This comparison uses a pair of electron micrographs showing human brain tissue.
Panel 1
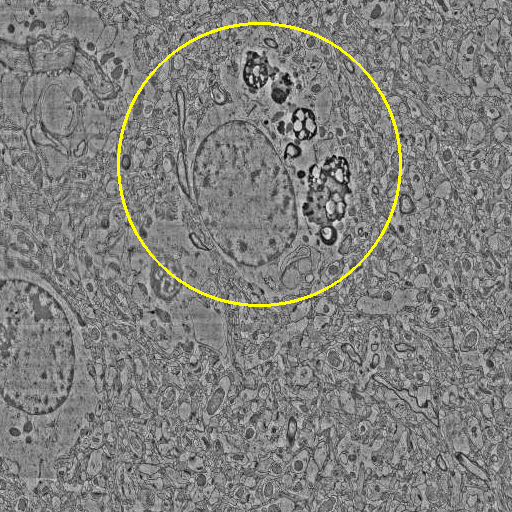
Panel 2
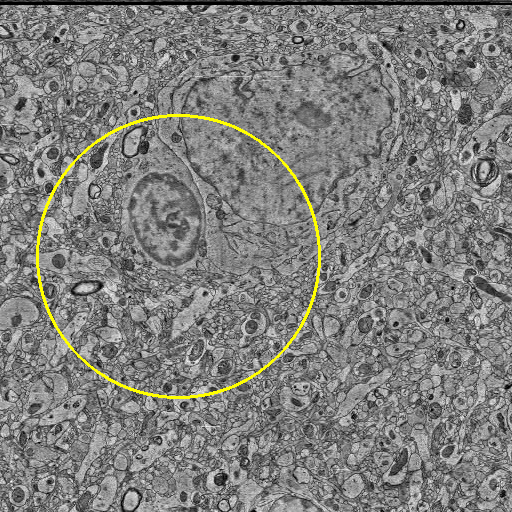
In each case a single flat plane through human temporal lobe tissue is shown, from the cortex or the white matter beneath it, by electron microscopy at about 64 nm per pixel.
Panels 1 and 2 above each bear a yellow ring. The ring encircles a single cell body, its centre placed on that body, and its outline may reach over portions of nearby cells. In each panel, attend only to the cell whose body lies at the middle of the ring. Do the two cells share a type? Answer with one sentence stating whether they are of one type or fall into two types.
In Panel 1 and Panel 2, the cells at the centres of the rings fall into two types.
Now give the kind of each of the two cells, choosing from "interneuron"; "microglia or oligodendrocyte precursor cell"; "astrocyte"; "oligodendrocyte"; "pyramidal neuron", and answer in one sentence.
The cell in the first picture is an astrocyte, and the cell in the second is an oligodendrocyte.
